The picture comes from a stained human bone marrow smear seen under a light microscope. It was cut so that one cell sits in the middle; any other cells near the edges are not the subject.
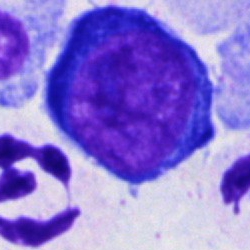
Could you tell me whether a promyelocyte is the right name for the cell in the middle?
no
